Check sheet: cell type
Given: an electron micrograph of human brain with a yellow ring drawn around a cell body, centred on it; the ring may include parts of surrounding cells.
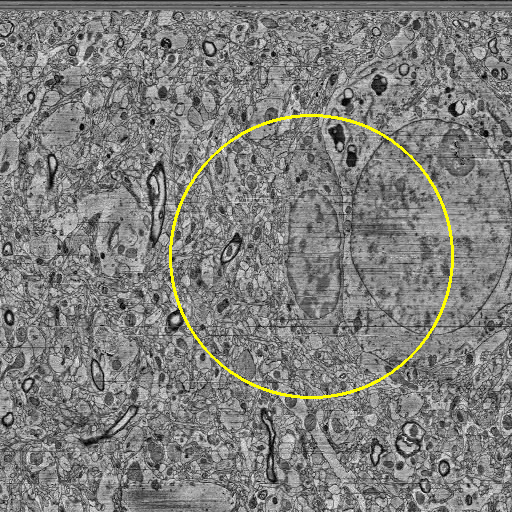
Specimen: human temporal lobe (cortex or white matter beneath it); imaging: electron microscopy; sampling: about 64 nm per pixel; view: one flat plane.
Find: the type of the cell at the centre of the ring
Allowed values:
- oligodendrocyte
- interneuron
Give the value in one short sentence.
Here the ringed cell is an oligodendrocyte.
